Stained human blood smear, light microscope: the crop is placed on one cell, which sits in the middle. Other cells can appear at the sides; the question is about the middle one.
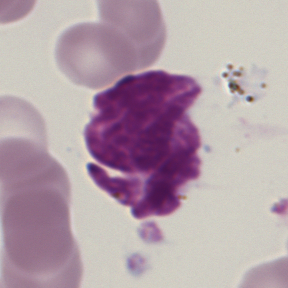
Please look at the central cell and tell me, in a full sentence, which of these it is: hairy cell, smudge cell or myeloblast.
The cell featured at the centre of this crop is a smudge cell.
